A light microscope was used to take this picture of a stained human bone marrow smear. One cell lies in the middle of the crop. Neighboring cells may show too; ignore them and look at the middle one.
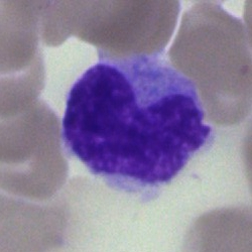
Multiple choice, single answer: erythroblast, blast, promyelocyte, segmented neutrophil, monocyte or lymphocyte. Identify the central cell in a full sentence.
The cell of interest, located centrally, is a monocyte.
